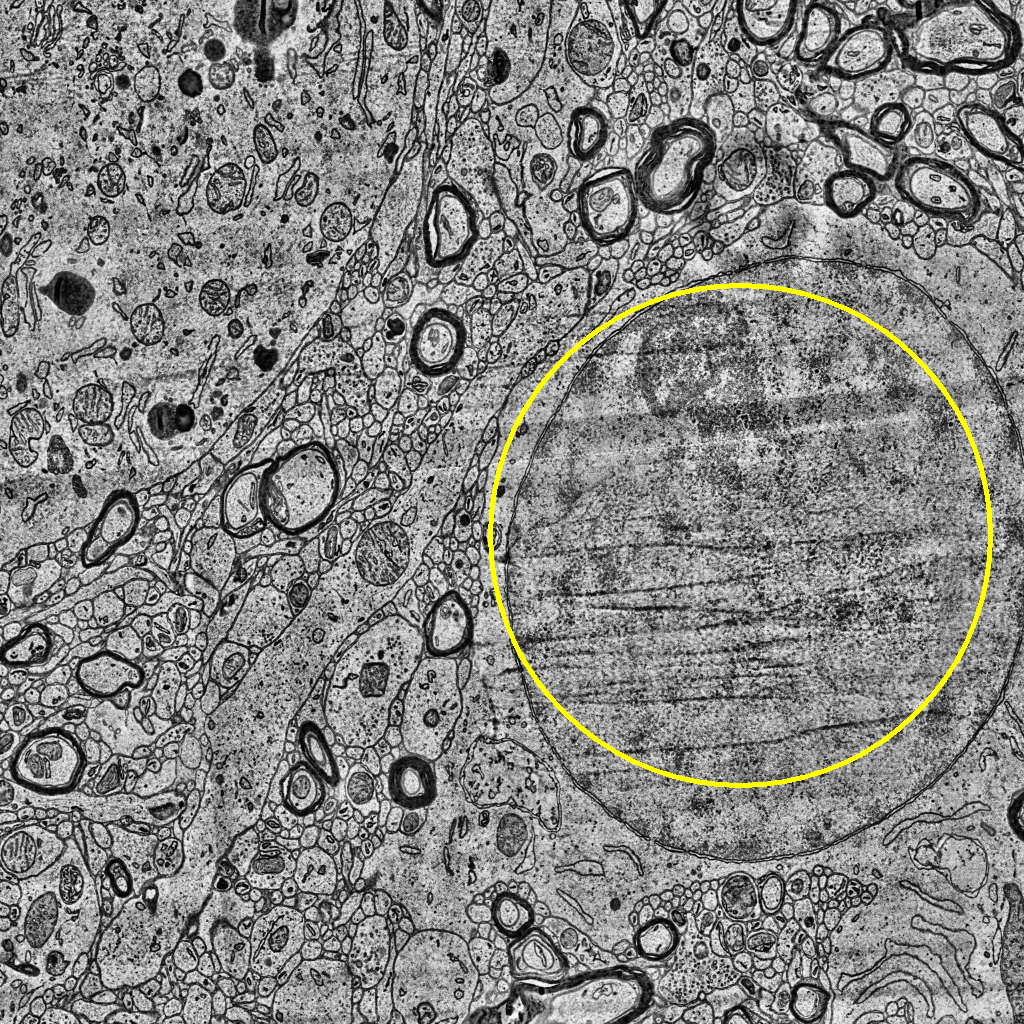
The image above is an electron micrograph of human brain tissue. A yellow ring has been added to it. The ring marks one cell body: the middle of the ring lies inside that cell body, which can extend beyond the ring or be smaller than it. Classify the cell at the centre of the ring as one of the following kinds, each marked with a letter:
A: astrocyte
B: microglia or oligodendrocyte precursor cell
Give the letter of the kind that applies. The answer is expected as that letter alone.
A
